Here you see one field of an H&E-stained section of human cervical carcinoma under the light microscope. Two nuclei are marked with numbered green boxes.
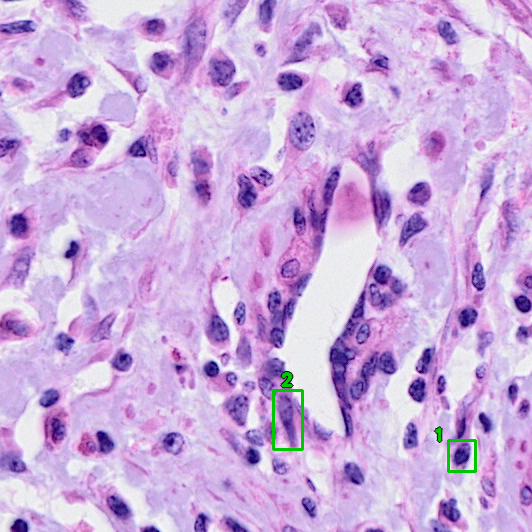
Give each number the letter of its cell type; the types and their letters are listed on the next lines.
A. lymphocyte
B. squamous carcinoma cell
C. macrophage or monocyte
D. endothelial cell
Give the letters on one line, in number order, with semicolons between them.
A; D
